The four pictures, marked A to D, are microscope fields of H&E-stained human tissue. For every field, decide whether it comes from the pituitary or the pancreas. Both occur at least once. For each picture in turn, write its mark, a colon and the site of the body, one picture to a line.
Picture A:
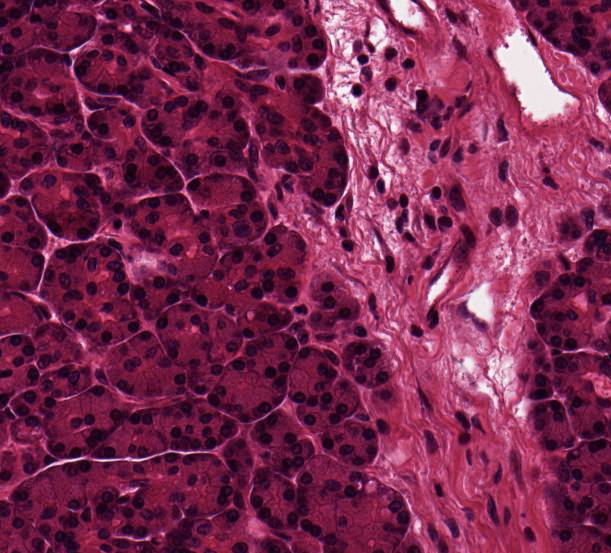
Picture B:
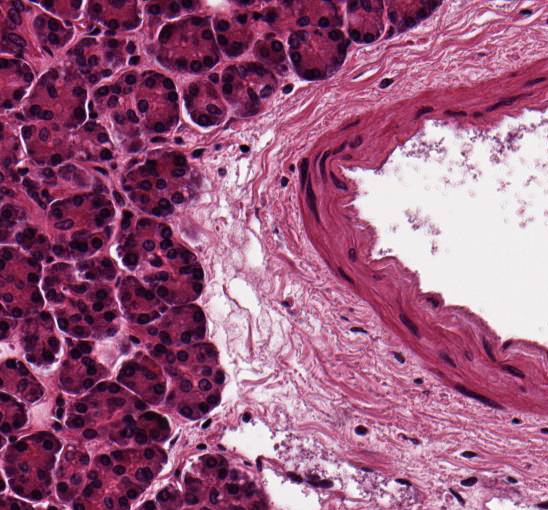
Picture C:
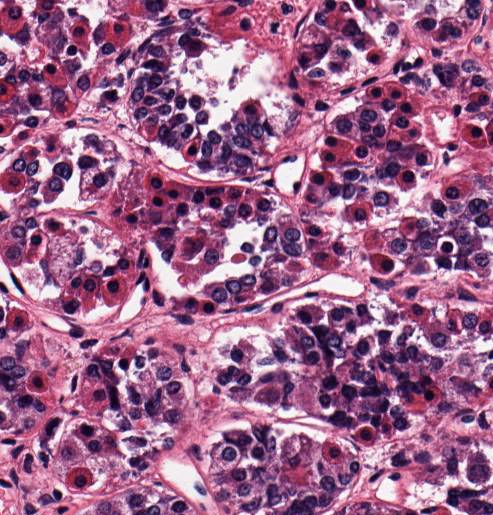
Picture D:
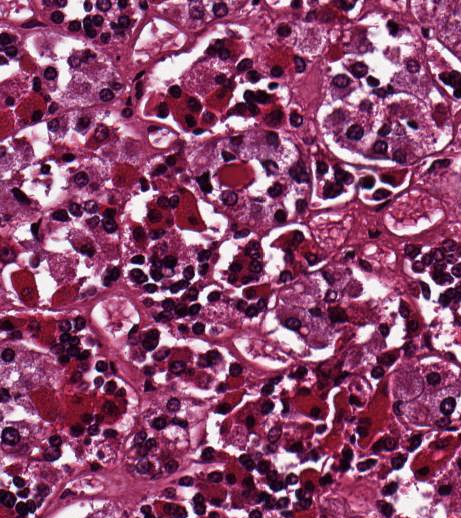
A: pancreas
B: pancreas
C: pituitary
D: pituitary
